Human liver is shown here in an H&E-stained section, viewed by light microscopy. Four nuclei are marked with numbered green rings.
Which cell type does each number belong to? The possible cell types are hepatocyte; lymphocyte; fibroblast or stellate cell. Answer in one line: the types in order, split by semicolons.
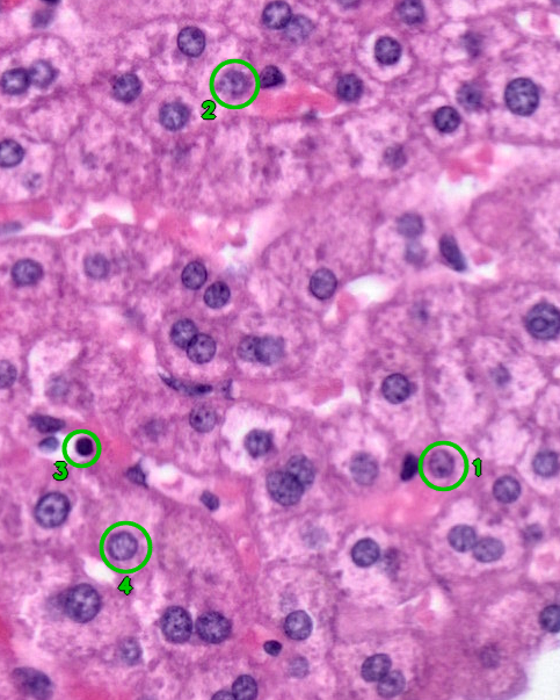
hepatocyte; hepatocyte; lymphocyte; hepatocyte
